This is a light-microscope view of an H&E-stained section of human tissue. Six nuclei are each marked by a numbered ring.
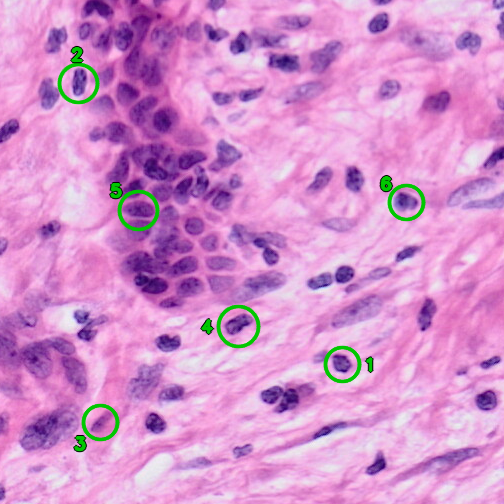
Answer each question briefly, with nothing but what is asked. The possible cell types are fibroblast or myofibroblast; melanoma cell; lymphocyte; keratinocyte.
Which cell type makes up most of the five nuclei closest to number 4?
fibroblast or myofibroblast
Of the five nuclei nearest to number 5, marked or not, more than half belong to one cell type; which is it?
keratinocyte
